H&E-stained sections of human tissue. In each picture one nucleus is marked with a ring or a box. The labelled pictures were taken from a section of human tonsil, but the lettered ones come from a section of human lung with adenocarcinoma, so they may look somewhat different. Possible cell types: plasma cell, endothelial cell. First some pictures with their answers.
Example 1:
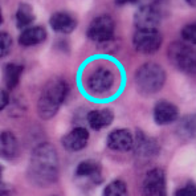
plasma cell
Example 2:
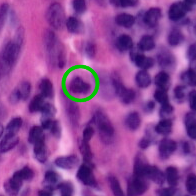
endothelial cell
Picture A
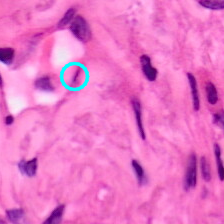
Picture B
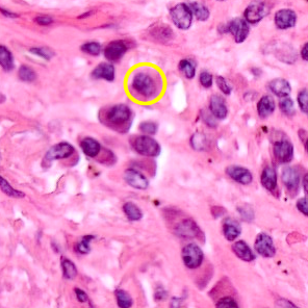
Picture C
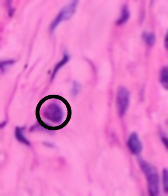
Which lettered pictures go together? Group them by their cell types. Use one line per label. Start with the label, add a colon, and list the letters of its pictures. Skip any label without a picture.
plasma cell: B, C
endothelial cell: A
